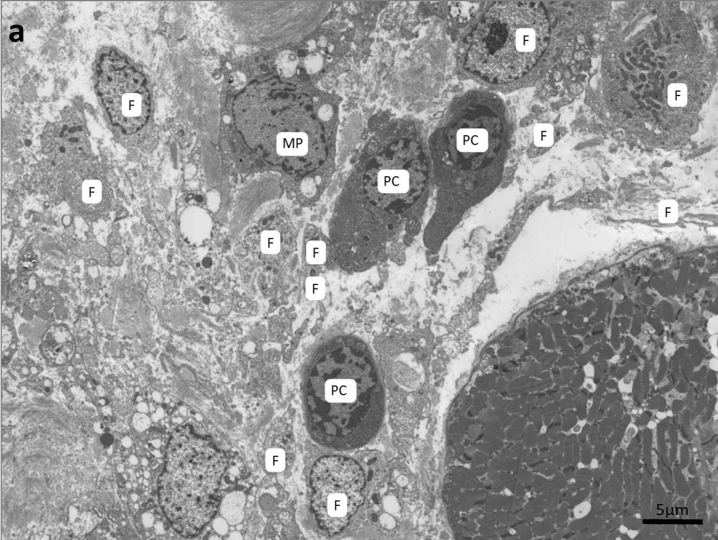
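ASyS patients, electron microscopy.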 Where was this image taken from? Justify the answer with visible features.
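A skeletal muscle fiber with packed myofibrils lies at the lower right. Loose extracellular matrix with scattered cells lies beside the fiber. So: perimysial area of a muscle fascicle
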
